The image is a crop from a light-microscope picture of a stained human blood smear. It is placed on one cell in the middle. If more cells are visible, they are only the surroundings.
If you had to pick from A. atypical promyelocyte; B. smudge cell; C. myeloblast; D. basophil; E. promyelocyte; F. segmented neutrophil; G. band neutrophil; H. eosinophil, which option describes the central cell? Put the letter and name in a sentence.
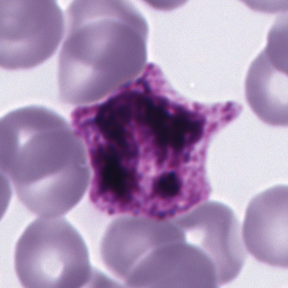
The centered cell is a basophil, which is why option D is right.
